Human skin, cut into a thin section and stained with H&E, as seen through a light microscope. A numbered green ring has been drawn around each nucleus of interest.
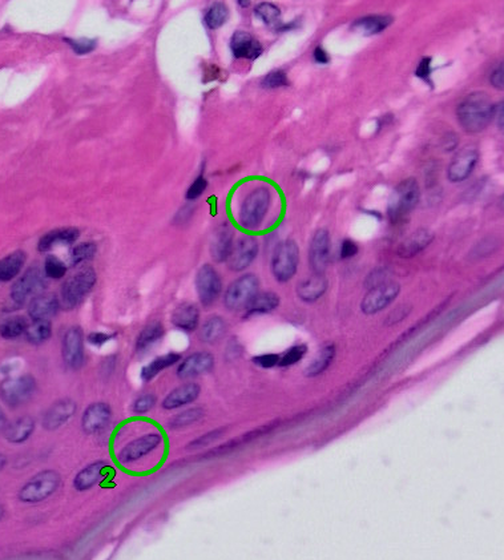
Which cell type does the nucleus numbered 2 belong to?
suprabasal keratinocyte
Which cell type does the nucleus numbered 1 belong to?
basal keratinocyte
